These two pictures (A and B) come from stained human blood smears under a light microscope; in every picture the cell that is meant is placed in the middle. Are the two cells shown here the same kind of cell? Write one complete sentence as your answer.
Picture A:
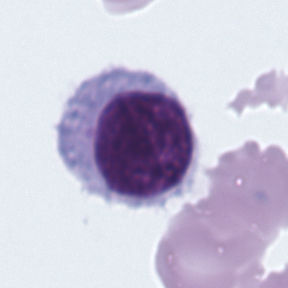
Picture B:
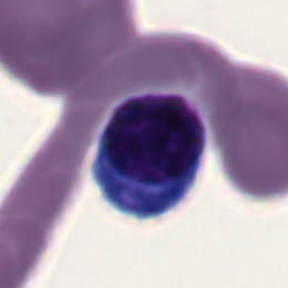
No; the cell in picture A is a hairy cell, while the one in picture B is a plasma cell.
